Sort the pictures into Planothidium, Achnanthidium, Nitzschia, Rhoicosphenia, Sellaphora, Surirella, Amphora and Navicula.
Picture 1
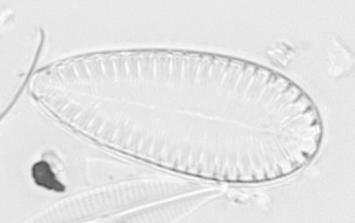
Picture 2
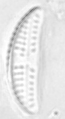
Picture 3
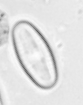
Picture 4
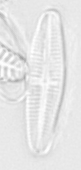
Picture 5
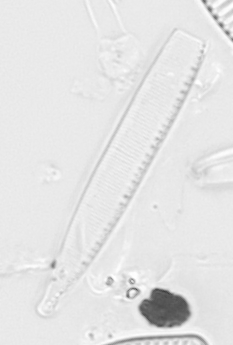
Surirella: 1
Amphora: 2
Sellaphora: 3
Achnanthidium: 4
Nitzschia: 5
